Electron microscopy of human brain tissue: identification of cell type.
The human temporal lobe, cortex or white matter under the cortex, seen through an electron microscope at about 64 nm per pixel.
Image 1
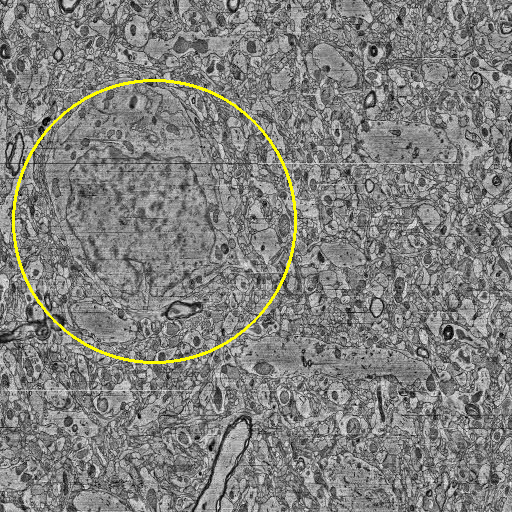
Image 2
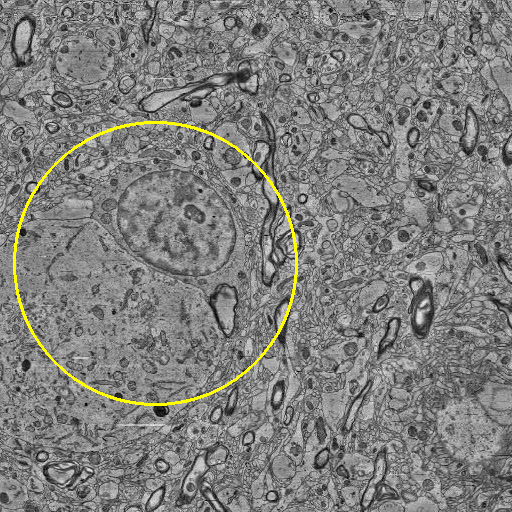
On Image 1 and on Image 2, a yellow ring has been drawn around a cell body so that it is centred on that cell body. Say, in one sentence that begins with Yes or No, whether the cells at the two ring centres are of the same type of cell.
No, the two cells are two separate types of cell.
